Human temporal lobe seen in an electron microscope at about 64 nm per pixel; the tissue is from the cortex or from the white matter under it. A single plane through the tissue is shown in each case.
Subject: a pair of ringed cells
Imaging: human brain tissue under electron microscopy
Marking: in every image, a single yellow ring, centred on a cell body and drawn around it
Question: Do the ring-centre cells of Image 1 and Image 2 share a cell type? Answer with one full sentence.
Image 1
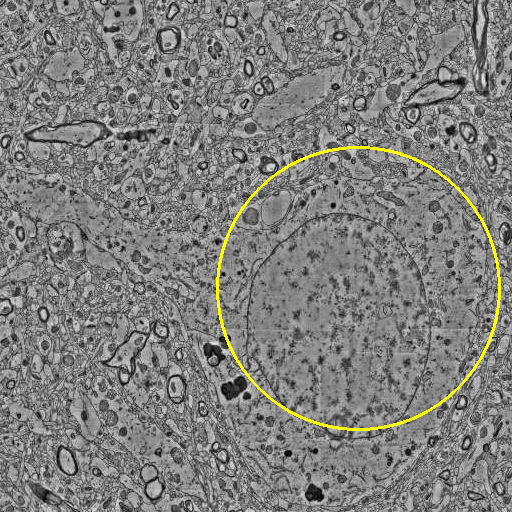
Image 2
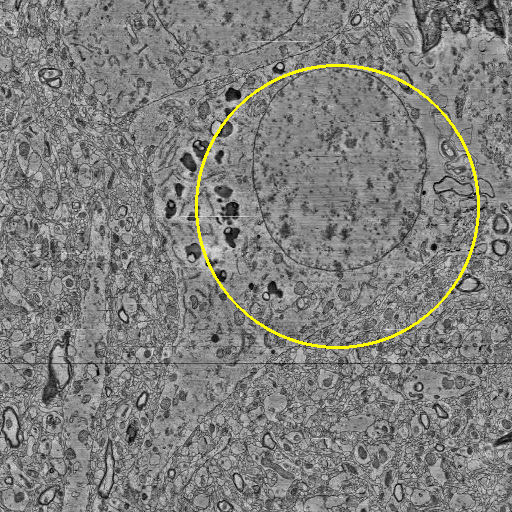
Yes, at each ring's centre in the images sits a cell of one common type.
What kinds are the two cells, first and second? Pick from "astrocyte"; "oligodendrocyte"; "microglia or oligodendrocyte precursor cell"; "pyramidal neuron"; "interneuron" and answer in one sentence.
Each of the two rings surrounds a pyramidal neuron.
